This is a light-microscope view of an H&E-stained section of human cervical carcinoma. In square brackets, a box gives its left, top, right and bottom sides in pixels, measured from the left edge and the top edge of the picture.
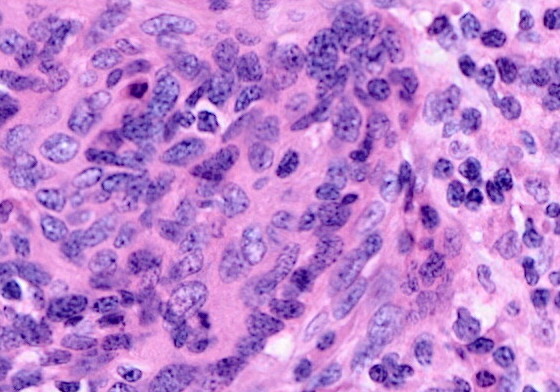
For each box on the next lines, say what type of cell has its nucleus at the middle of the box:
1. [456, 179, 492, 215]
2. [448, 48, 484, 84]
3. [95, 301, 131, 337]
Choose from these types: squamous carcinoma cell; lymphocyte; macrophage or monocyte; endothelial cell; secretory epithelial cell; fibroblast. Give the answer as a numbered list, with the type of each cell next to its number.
1. lymphocyte
2. lymphocyte
3. squamous carcinoma cell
